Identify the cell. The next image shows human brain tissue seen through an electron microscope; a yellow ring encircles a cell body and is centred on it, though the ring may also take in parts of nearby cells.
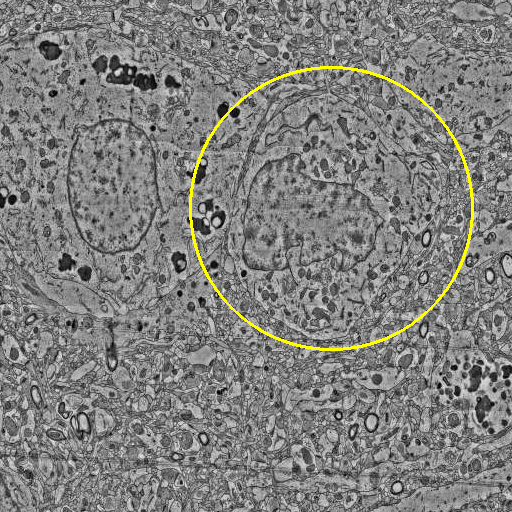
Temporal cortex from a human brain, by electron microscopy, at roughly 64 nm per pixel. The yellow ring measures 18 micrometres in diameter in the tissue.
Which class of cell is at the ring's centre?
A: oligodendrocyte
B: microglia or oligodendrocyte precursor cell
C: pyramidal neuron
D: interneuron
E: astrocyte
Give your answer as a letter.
D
